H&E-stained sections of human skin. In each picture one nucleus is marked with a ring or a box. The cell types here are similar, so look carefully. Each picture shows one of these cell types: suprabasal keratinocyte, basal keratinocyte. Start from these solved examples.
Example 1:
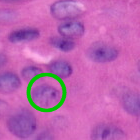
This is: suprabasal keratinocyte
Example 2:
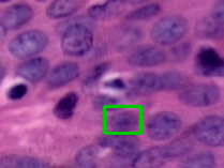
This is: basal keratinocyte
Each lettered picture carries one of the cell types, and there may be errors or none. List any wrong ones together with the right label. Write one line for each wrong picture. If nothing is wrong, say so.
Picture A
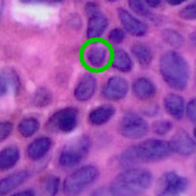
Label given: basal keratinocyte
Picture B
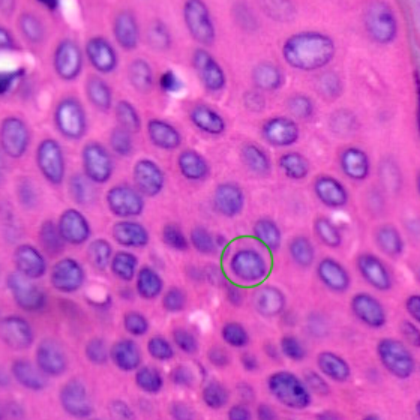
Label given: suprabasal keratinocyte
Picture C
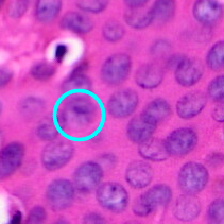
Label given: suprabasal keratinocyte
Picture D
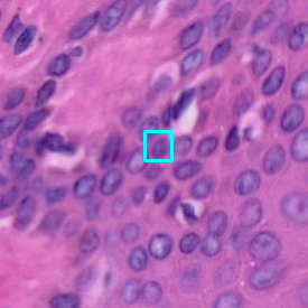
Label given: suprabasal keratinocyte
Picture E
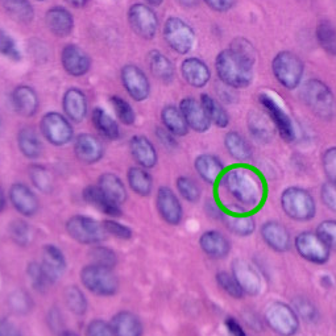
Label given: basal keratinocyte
D: not suprabasal keratinocyte but basal keratinocyte
E: not basal keratinocyte but suprabasal keratinocyte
